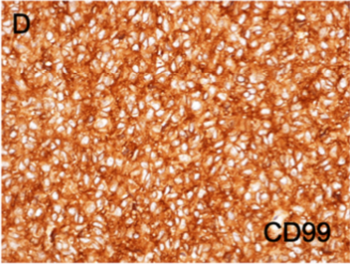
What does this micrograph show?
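These are sheets of tumour cells with strong brown staining throughout the field. The brown colour outlines the edges of each cell, giving a honeycomb-like, membrane pattern. The cell centres appear paler, leaving small round clear spaces where nuclei and cytoplasm lie. The cells are small, uniform and tightly packed, with no intervening organised tissue. Staining is diffuse, involving nearly every cell in view.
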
